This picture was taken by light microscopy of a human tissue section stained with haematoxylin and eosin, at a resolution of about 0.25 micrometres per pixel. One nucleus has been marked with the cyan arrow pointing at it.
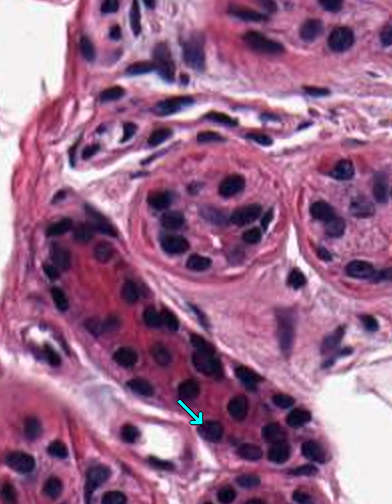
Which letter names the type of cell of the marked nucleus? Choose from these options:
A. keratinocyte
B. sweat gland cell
B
